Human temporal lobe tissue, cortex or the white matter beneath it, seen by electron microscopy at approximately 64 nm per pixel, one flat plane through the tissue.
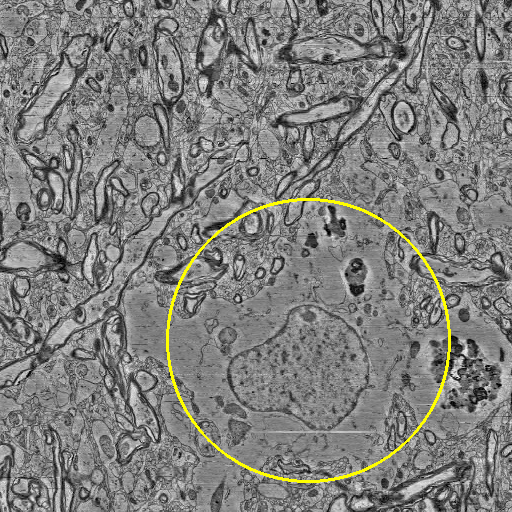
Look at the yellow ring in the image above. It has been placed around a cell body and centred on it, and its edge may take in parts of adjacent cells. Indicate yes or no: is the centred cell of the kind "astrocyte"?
yes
